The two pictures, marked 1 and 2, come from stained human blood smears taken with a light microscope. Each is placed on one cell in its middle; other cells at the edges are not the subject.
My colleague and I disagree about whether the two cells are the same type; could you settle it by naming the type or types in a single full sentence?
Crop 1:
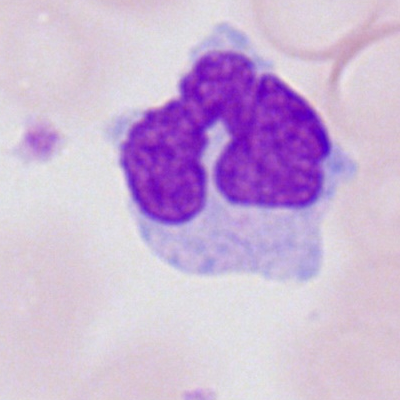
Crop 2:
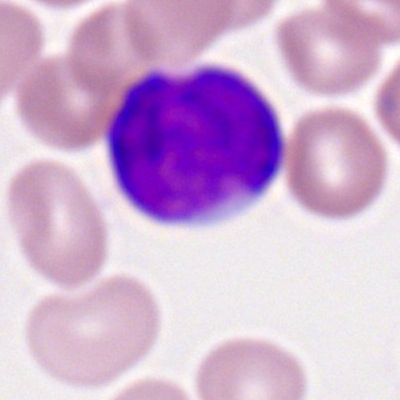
No, the cell centred in crop 2 is a myeloblast; crop 1 centres on a monocyte.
